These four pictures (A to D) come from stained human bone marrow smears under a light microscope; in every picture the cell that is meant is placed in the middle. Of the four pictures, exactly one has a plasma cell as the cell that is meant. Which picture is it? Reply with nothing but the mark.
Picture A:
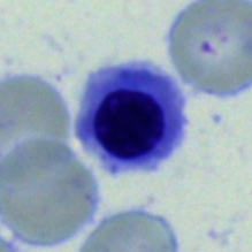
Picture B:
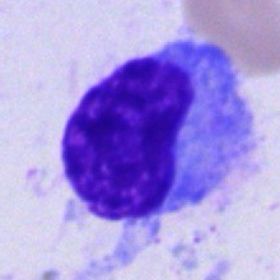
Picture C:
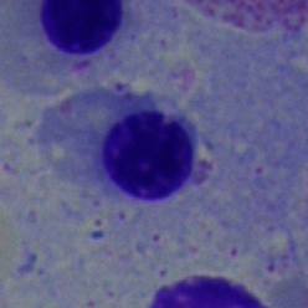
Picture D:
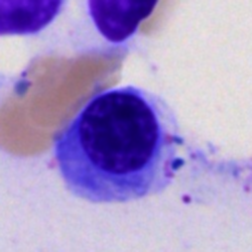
B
